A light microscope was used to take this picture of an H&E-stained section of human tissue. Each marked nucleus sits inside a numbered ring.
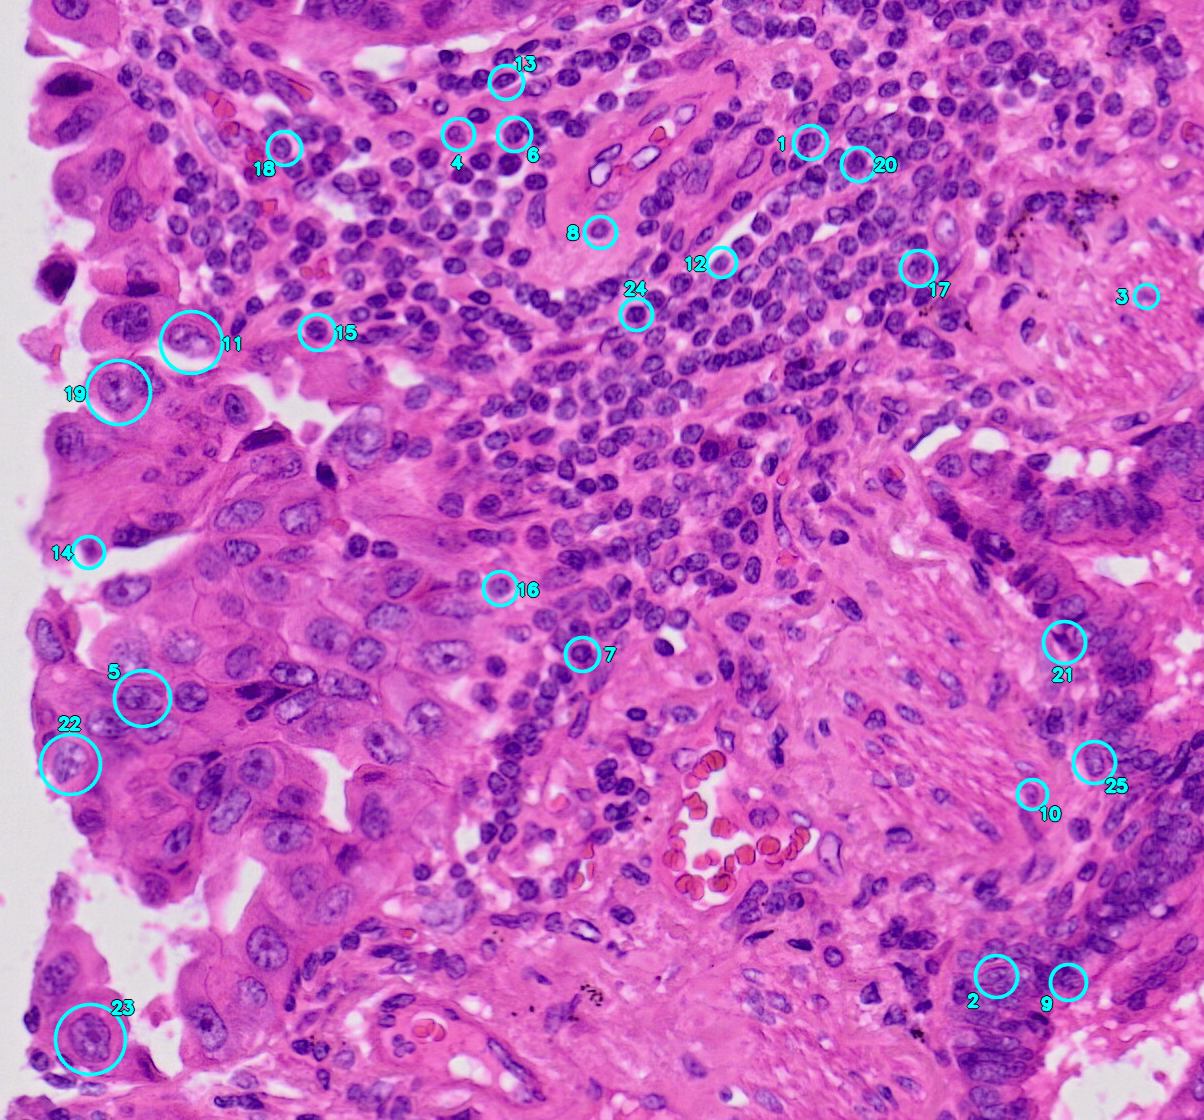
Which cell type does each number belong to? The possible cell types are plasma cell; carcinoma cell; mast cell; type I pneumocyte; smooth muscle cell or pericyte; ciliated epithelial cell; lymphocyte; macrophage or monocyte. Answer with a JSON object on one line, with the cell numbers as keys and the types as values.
{"1": "lymphocyte", "2": "ciliated epithelial cell", "3": "smooth muscle cell or pericyte", "4": "lymphocyte", "5": "carcinoma cell", "6": "lymphocyte", "7": "lymphocyte", "8": "lymphocyte", "9": "ciliated epithelial cell", "10": "smooth muscle cell or pericyte", "11": "carcinoma cell", "12": "lymphocyte", "13": "lymphocyte", "14": "carcinoma cell", "15": "lymphocyte", "16": "lymphocyte", "17": "lymphocyte", "18": "lymphocyte", "19": "carcinoma cell", "20": "lymphocyte", "21": "ciliated epithelial cell", "22": "carcinoma cell", "23": "carcinoma cell", "24": "lymphocyte", "25": "ciliated epithelial cell"}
